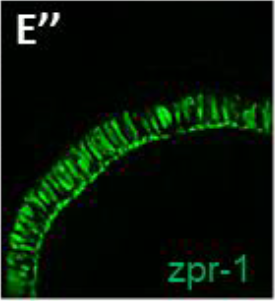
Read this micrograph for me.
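Within the band the cells are elongated and columnar, and they stand tightly side by side, each oriented roughly perpendicular to the curve. The band is fairly even in thickness along its length. The rest of the section, including the inner retinal layers, is dark and unlabelled.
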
